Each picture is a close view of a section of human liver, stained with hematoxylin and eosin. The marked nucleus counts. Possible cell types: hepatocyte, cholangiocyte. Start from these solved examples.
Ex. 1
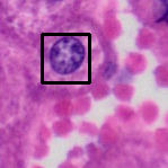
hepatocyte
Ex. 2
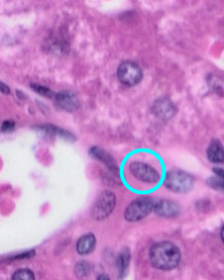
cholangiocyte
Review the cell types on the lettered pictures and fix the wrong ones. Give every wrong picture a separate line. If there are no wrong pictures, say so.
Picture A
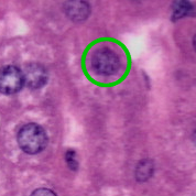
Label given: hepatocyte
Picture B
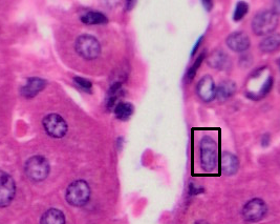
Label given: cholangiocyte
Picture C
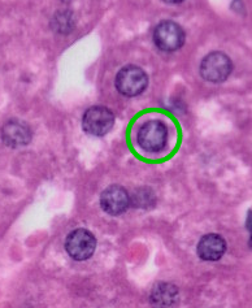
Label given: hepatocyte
None of the labels needs changing.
